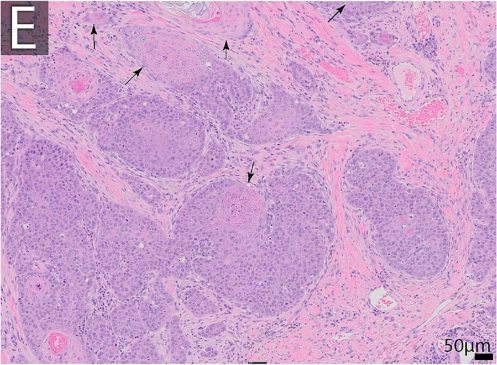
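This is squamous epithelium growing as separate islands within the connective tissue beneath. Each island is a crowded nest of purple-staining cells with oval nuclei and little cytoplasm, and the islands are set apart by strands of pink fibrous stroma carrying small blood vessels. In several islands there are pale pink, glassy foci of keratinized cells.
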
